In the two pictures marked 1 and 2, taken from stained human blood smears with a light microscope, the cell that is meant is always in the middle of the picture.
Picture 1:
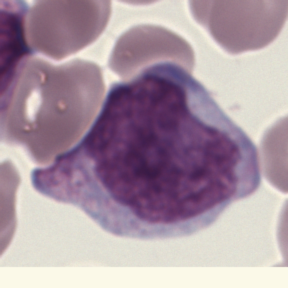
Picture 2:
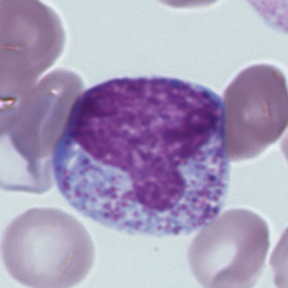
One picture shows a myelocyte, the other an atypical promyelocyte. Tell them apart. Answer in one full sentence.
Picture 2 shows a myelocyte, while picture 1 shows an atypical promyelocyte.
